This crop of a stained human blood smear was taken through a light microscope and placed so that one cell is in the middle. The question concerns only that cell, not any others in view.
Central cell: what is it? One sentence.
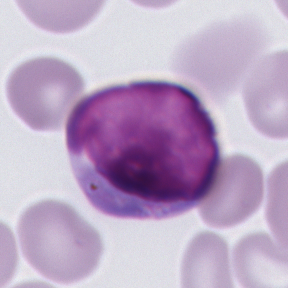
Present in the middle of the crop is a large granular lymphocyte.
